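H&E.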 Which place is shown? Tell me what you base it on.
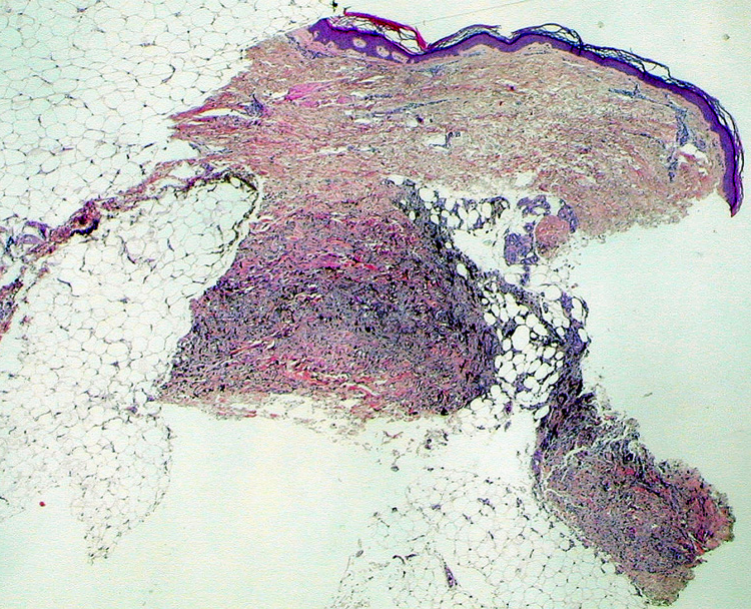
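Dense purple cellular masses lie beneath the paler upper dermis. The cellular masses are surrounded by and extend into clear fat lobules. The epidermis at the top is separated from the masses by a band of paler dermis.
Answer: within the deep reticular dermis and subcutaneous tissue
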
